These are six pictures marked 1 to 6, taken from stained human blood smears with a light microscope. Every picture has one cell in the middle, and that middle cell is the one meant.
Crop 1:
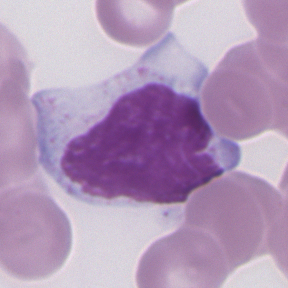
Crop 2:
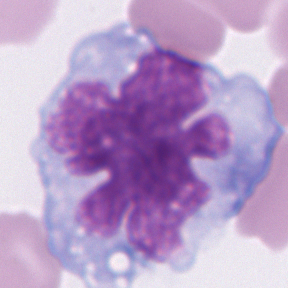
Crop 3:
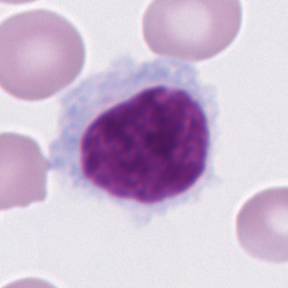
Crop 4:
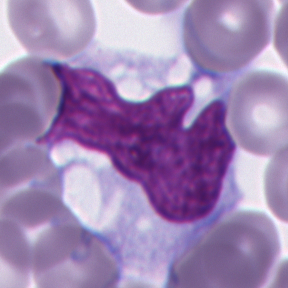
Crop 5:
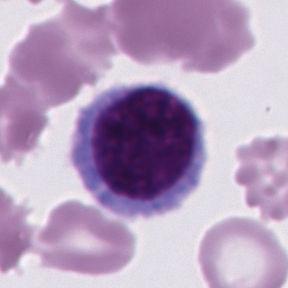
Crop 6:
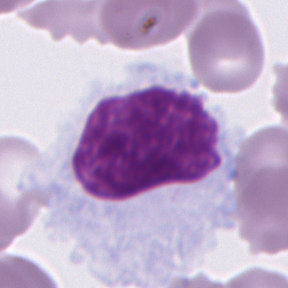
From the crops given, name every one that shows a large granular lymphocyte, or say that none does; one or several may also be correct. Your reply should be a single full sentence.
Crop 1 holds a large granular lymphocyte; the other crops hold none.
